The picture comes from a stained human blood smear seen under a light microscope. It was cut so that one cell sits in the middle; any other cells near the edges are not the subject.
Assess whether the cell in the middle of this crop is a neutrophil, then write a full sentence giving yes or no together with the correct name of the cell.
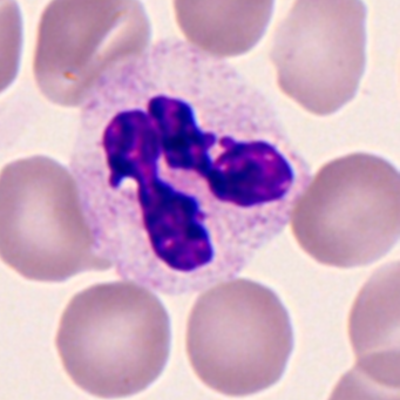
Yes, within this crop, the central cell is a neutrophil.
